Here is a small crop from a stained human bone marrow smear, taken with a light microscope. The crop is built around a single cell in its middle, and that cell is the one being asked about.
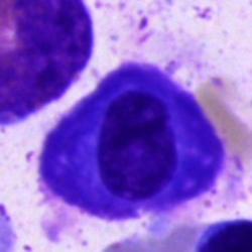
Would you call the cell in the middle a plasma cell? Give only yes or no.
yes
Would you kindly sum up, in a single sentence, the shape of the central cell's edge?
Its surface contour is regular and smooth, without any protrusions.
